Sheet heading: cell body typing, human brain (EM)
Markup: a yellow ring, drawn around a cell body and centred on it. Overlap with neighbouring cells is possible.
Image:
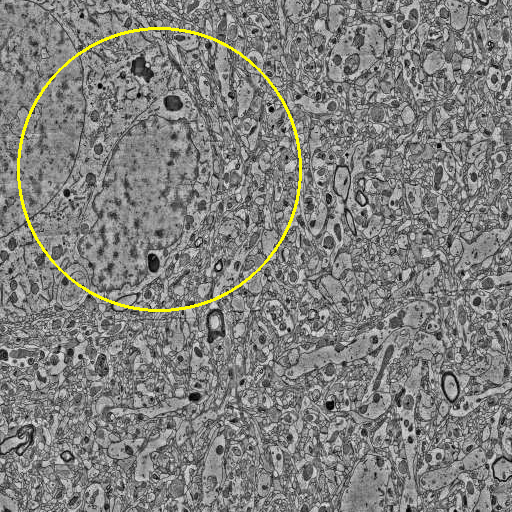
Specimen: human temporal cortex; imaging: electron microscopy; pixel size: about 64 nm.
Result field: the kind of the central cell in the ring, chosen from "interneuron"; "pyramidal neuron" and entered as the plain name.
interneuron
